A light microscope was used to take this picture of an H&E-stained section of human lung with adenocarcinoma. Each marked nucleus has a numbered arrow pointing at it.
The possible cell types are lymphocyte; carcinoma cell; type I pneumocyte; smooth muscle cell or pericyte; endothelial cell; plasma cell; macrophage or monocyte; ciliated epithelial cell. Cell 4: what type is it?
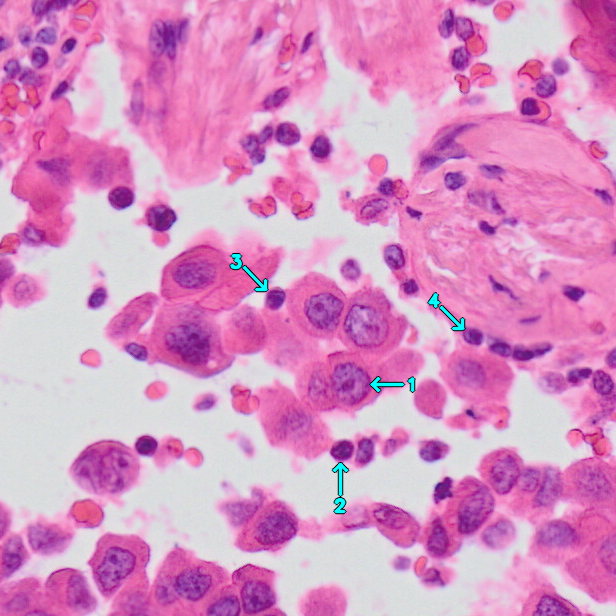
lymphocyte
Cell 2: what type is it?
lymphocyte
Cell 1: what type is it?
carcinoma cell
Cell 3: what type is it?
lymphocyte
